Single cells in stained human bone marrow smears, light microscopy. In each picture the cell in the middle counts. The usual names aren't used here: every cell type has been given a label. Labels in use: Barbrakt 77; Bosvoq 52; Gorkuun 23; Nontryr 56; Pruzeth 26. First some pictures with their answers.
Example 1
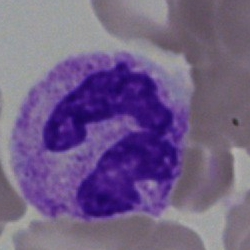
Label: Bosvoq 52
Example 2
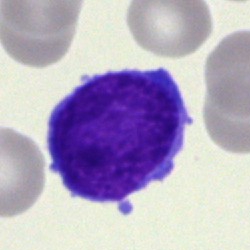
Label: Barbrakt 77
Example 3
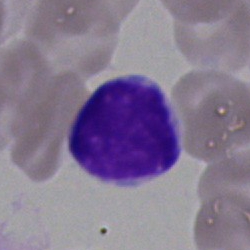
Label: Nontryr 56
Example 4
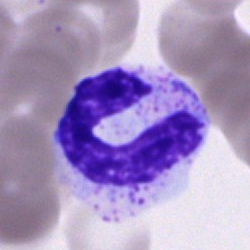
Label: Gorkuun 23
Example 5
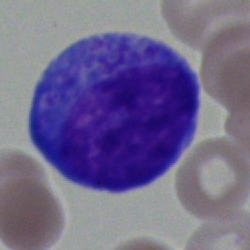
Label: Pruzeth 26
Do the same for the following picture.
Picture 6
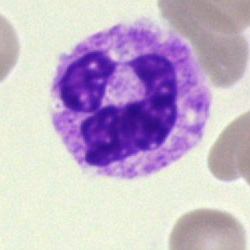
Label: Bosvoq 52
